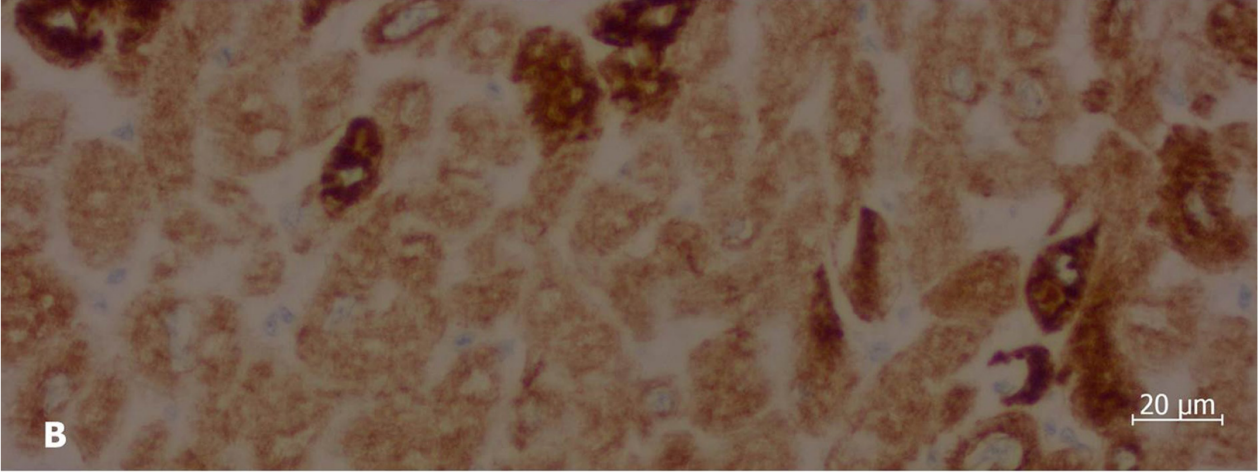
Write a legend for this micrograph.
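Here the heart muscle cells are cut across, so they appear as rounded and polygonal profiles separated by pale spaces, with small blue nuclei scattered between them. Most profiles carry a fine, light brown granular stain, while a few hold irregular, very dark brown clumps, often arranged around a pale centre.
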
